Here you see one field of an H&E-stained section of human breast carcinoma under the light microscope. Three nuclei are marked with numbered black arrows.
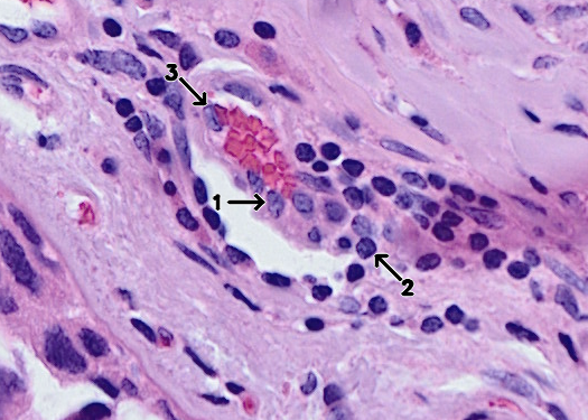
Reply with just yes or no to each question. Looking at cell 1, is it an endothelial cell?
yes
